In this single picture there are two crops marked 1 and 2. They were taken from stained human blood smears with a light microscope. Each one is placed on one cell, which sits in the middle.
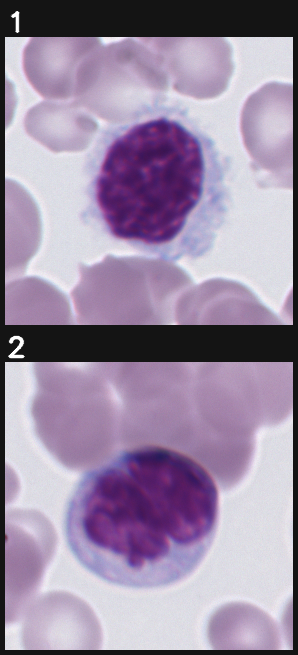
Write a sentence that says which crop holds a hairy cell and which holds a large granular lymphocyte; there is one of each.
The cell centred in crop 1 is a hairy cell, and the one centred in crop 2 is a large granular lymphocyte.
